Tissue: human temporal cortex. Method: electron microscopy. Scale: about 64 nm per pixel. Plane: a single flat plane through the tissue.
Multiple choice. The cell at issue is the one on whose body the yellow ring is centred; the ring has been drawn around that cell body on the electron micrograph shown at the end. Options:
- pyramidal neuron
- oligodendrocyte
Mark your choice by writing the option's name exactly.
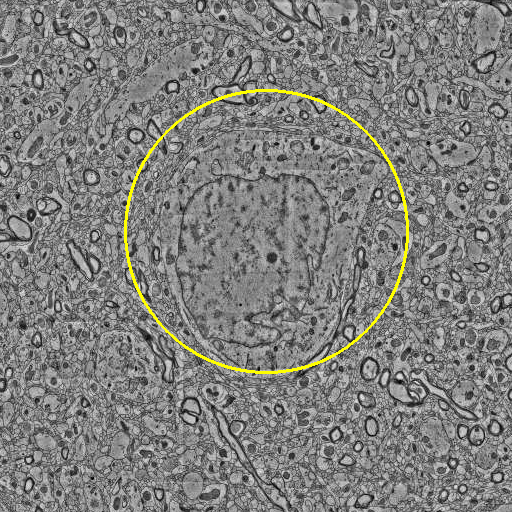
pyramidal neuron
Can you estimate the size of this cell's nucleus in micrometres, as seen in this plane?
The nucleus has a long axis of about 12 micrometres and a short axis of about 10 micrometres in this plane.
